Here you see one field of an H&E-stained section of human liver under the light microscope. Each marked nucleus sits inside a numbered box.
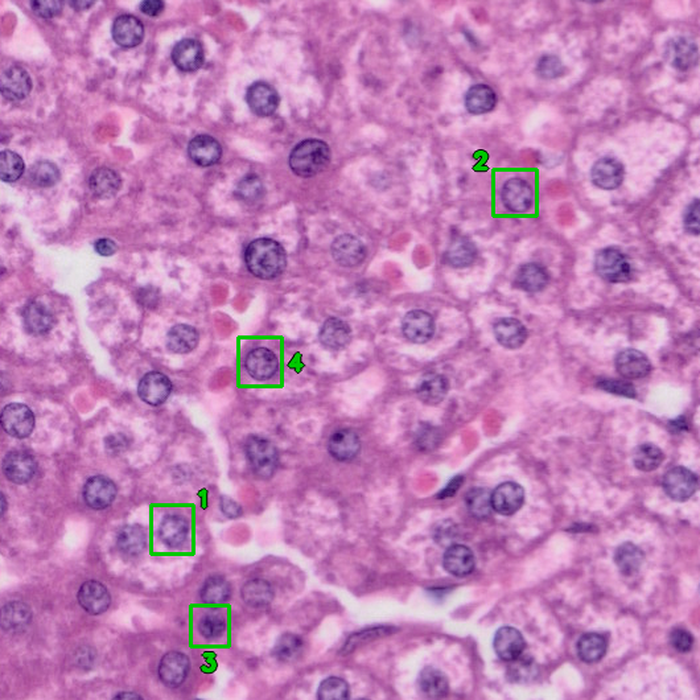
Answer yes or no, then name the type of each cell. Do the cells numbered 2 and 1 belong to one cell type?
Yes, both cells 2 and 1 are hepatocytes.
